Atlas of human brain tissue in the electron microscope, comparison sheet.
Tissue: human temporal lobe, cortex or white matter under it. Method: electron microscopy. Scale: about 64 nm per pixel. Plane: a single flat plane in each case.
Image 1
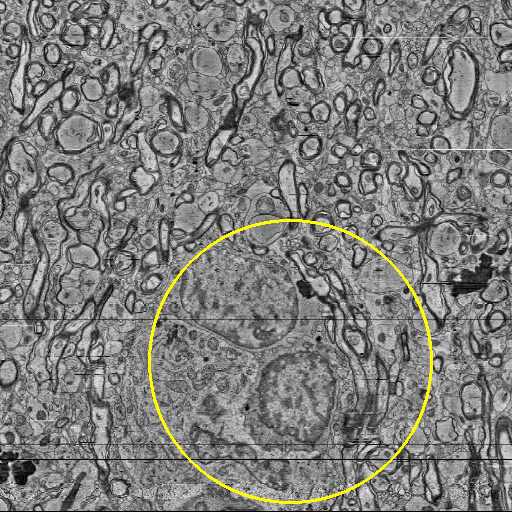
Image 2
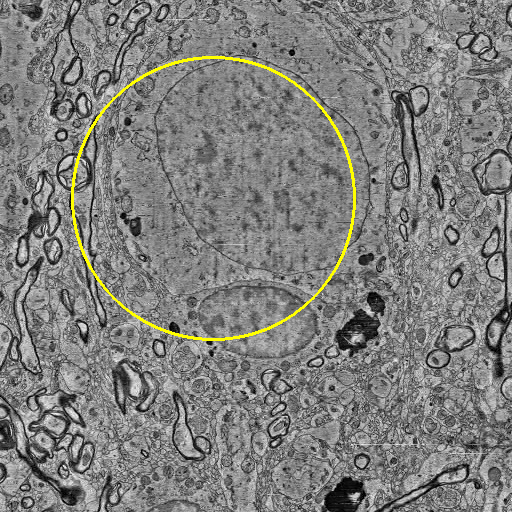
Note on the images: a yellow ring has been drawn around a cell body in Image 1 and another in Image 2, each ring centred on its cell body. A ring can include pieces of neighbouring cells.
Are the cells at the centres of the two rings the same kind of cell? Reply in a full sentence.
No, the two cells are of two kinds.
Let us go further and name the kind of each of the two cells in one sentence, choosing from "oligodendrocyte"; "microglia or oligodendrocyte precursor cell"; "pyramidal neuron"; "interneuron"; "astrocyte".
The ring of the first picture is on an oligodendrocyte, the ring of the second on a pyramidal neuron.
